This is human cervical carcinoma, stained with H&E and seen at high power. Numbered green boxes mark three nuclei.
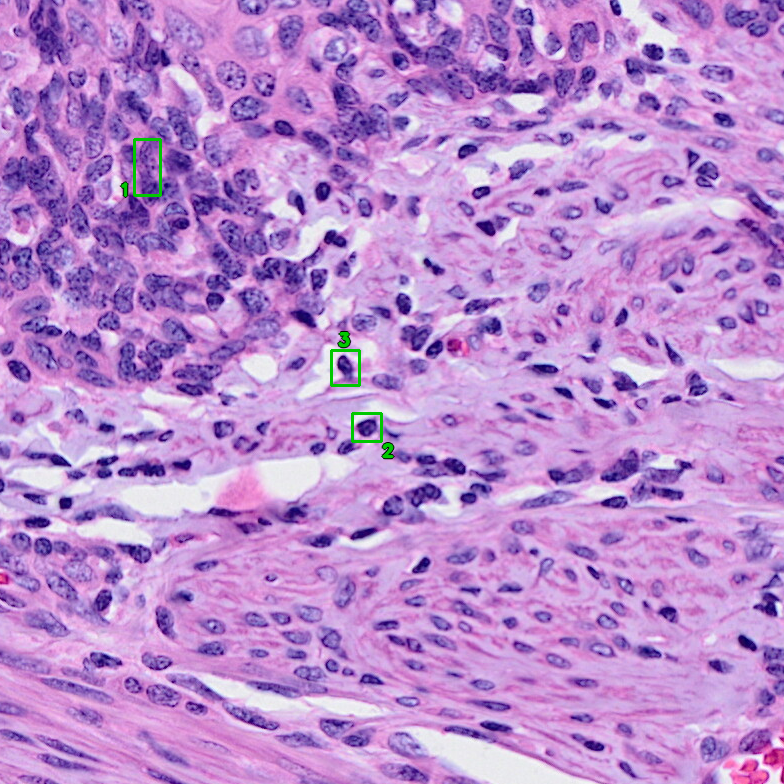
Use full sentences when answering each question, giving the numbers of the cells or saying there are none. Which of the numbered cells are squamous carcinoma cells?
Only nucleus 1 belongs to a squamous carcinoma cell; the other numbered nuclei do not.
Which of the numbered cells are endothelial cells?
None of the numbered cells are endothelial cells.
